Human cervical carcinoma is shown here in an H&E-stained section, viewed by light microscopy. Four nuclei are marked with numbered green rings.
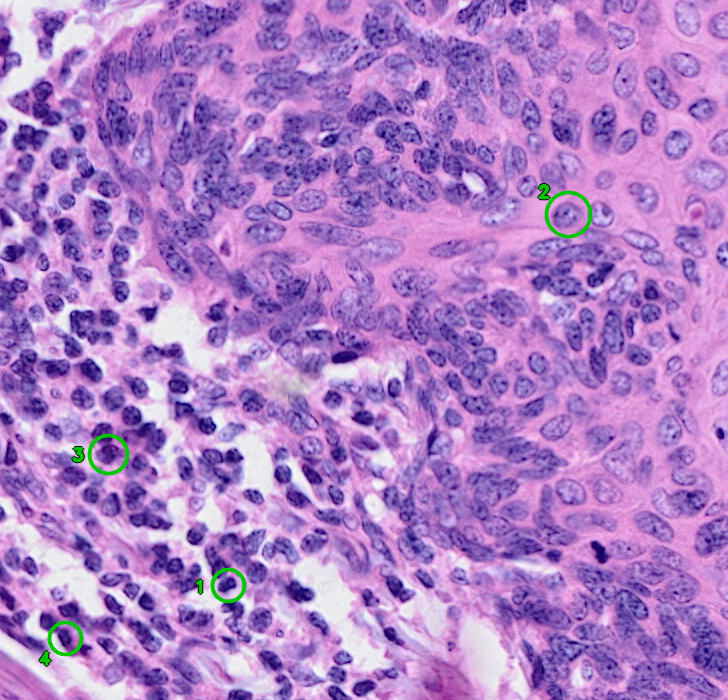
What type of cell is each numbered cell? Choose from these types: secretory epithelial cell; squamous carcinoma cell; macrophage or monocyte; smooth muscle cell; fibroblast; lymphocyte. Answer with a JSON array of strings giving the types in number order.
["lymphocyte", "squamous carcinoma cell", "lymphocyte", "lymphocyte"]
